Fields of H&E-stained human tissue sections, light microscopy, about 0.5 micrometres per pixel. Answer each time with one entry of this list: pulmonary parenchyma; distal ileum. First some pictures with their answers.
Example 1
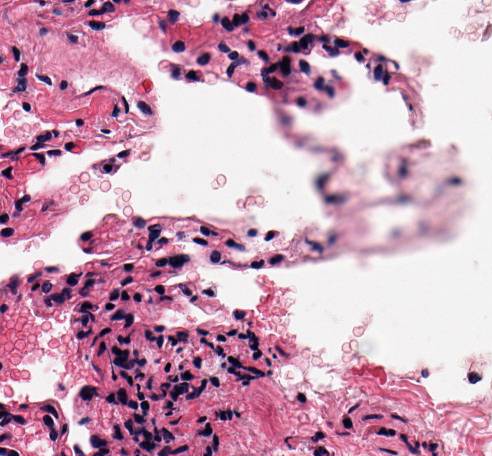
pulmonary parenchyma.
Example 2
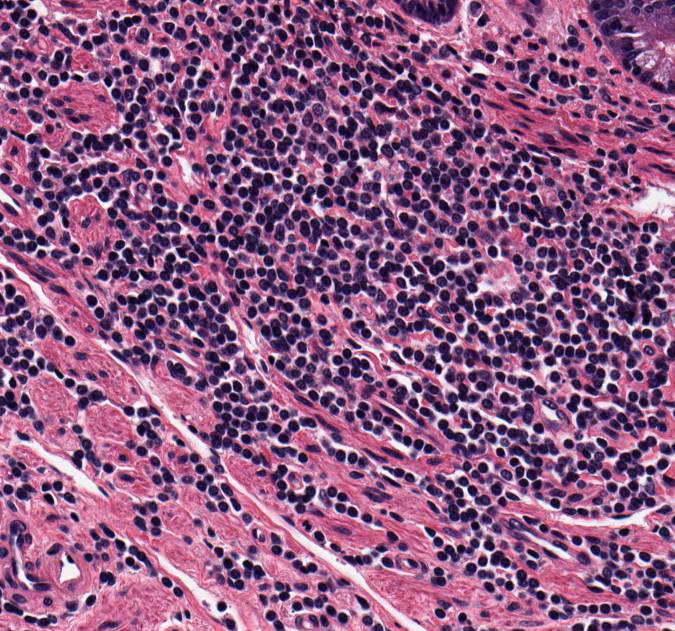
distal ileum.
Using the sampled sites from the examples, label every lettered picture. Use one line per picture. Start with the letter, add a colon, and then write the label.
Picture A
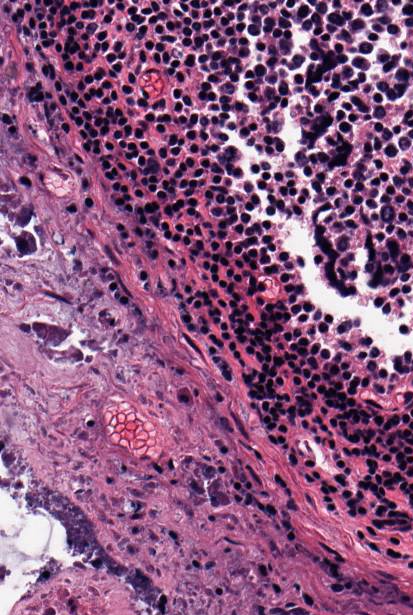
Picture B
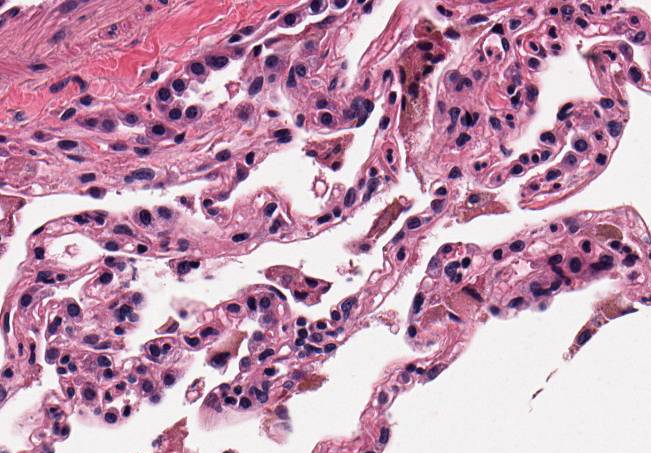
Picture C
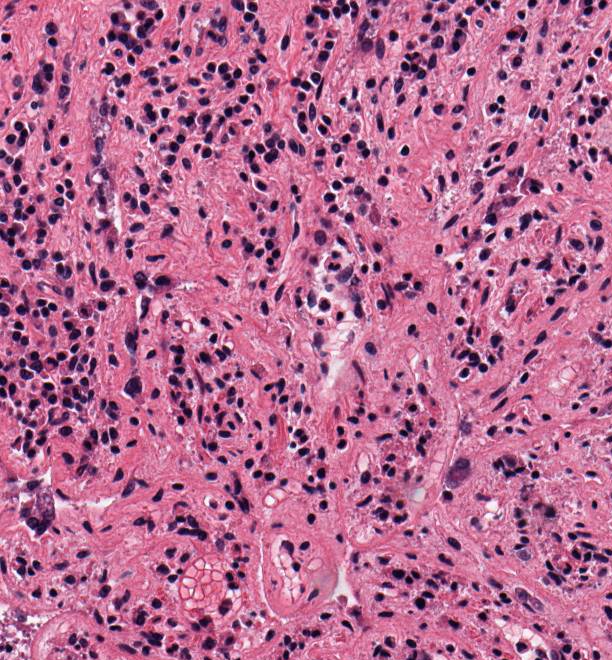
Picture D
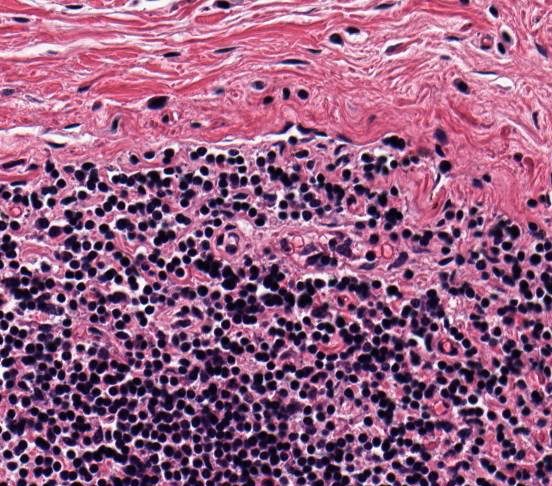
A: distal ileum.
B: pulmonary parenchyma.
C: distal ileum.
D: distal ileum.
